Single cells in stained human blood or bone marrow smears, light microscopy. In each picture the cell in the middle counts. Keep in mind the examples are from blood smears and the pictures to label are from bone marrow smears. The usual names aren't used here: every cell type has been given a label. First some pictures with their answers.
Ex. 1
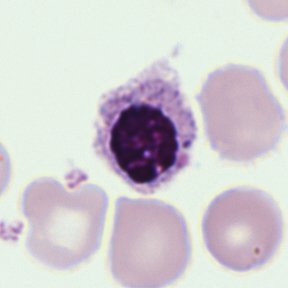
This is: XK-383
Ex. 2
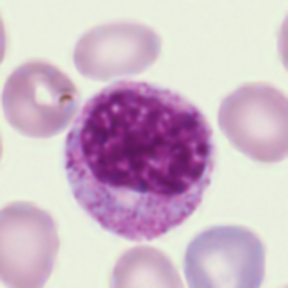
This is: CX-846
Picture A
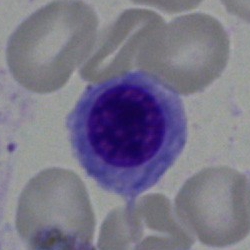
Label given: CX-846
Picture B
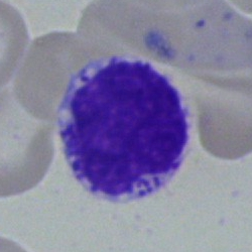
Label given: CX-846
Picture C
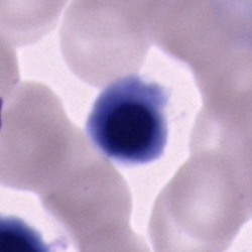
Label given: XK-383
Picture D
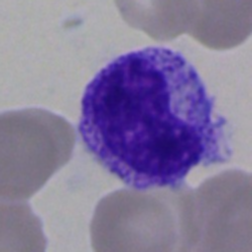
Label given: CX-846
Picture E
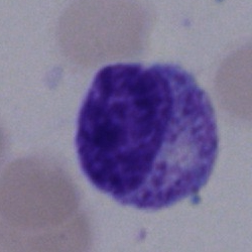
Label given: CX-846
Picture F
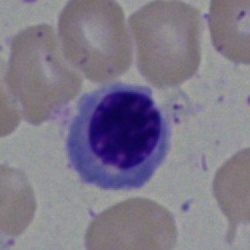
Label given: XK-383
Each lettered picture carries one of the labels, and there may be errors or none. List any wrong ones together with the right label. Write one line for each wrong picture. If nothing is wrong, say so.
A: not CX-846 but XK-383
